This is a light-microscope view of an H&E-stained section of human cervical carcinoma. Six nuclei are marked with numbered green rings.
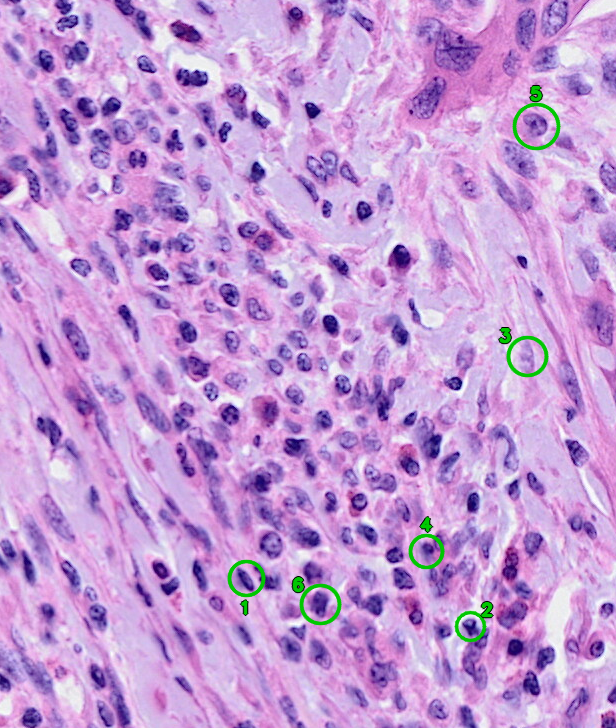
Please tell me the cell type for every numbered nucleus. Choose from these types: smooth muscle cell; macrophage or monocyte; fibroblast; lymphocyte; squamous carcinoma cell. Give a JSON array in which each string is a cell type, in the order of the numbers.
["lymphocyte", "lymphocyte", "fibroblast", "lymphocyte", "macrophage or monocyte", "lymphocyte"]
